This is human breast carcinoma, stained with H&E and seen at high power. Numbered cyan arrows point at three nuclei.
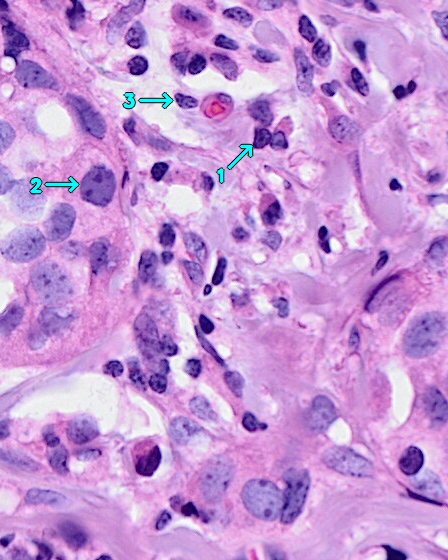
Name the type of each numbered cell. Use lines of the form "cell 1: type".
cell 1: lymphocyte
cell 2: carcinoma cell
cell 3: lymphocyte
